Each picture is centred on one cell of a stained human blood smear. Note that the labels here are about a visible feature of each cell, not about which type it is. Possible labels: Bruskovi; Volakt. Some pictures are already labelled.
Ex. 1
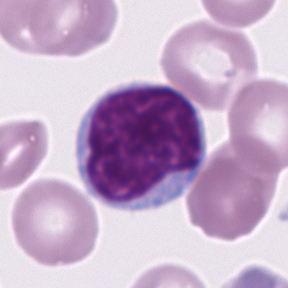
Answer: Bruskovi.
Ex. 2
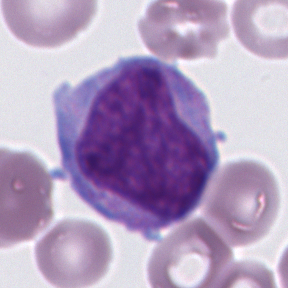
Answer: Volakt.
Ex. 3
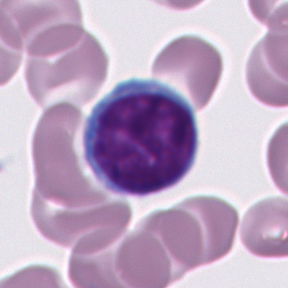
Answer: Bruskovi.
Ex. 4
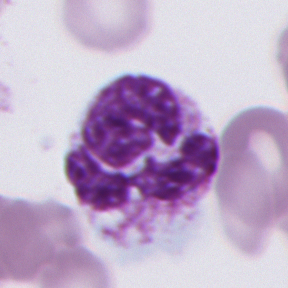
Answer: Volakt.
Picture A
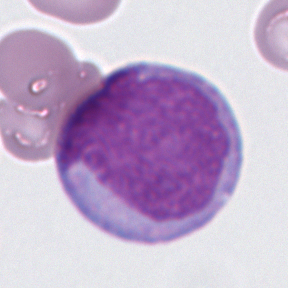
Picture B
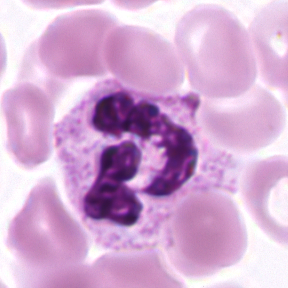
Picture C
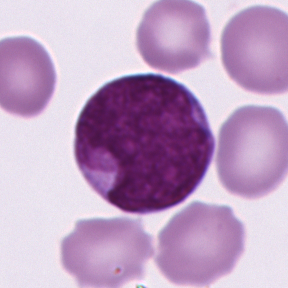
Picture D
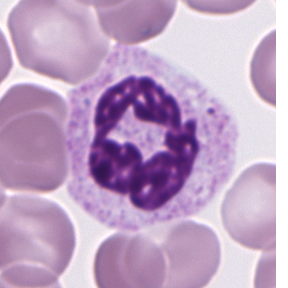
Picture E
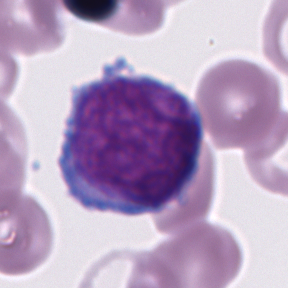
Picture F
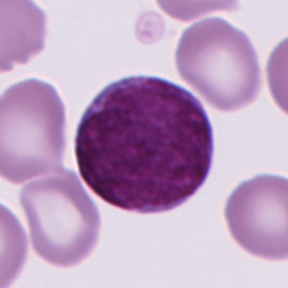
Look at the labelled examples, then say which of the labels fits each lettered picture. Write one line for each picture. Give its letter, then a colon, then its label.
A: Bruskovi.
B: Volakt.
C: Bruskovi.
D: Bruskovi.
E: Volakt.
F: Bruskovi.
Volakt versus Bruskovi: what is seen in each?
Volakt, ragged outline or projections; Bruskovi, smooth outline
